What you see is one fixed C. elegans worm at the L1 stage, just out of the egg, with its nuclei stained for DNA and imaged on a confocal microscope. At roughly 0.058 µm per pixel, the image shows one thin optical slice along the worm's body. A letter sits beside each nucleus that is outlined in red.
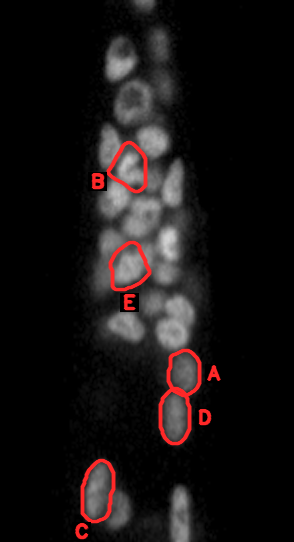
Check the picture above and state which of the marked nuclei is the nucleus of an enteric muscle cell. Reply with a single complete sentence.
The nucleus of an enteric muscle cell is D.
